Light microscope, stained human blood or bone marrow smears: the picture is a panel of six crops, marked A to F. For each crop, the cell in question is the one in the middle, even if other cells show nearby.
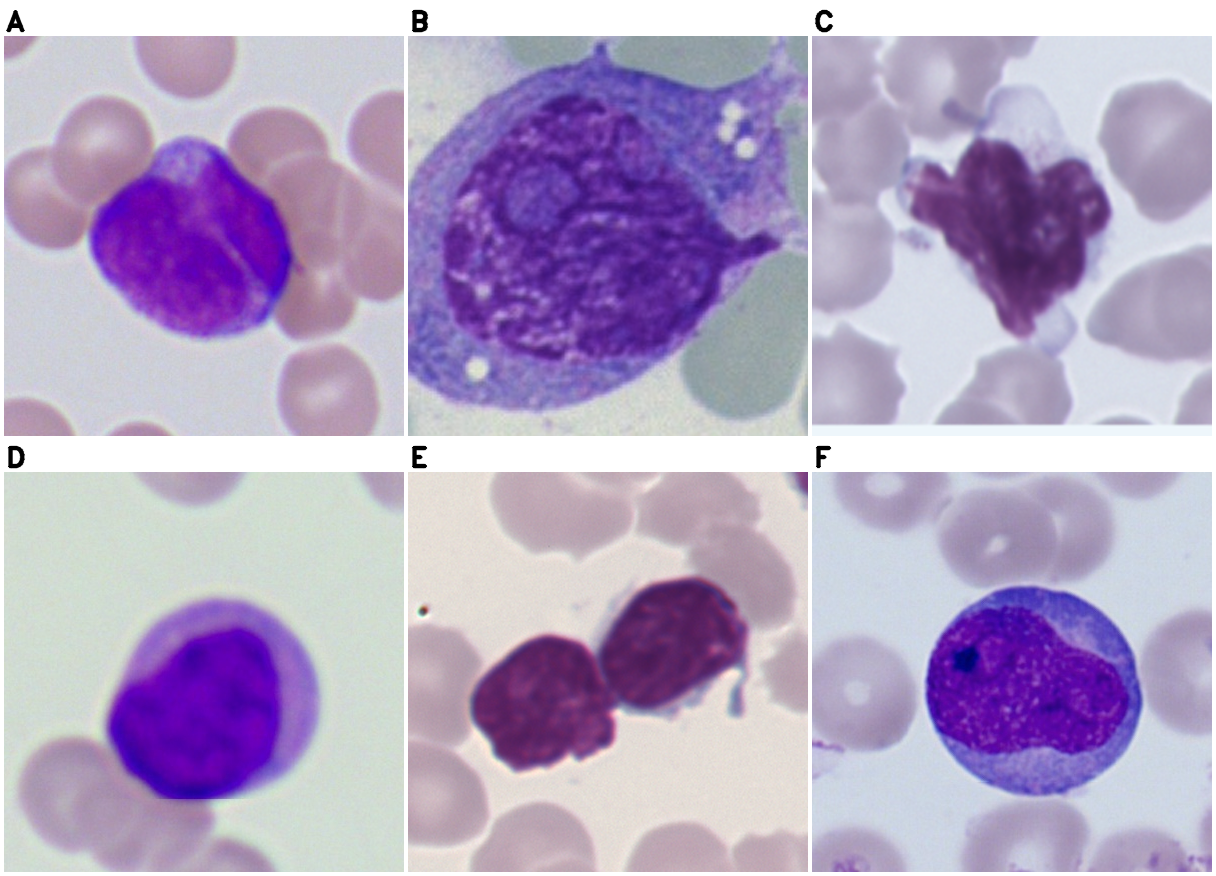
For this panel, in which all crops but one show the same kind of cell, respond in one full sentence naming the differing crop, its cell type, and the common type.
Crop C shows a lymphocyte; by contrast, all the other crops show blasts.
